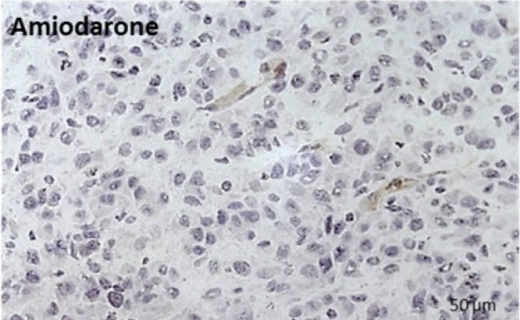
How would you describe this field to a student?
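Only a few faint, thin brown strands are seen among the cells. No open vessel lumens are apparent.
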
